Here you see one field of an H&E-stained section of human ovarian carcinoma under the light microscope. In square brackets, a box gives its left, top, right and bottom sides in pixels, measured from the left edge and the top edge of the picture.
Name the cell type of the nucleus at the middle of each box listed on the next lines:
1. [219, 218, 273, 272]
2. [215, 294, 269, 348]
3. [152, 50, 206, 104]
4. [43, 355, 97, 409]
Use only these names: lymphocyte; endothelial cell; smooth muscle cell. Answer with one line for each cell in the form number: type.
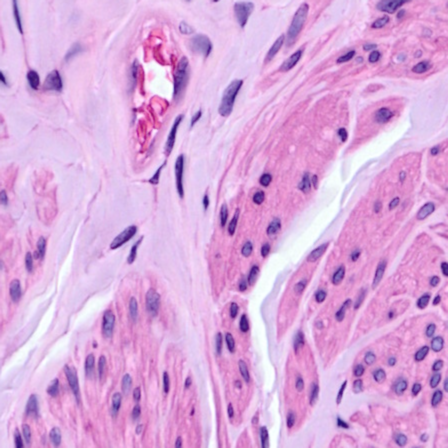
1: smooth muscle cell
2: smooth muscle cell
3: endothelial cell
4: smooth muscle cell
